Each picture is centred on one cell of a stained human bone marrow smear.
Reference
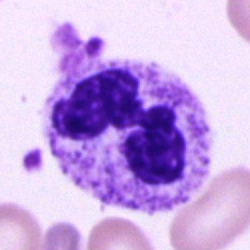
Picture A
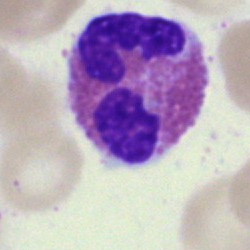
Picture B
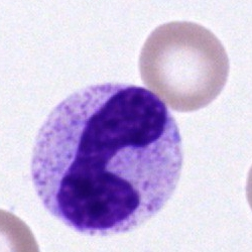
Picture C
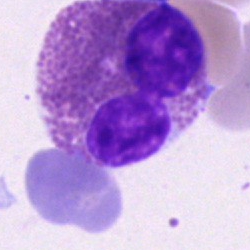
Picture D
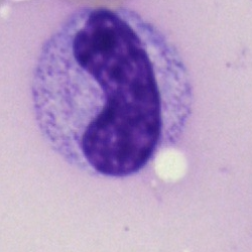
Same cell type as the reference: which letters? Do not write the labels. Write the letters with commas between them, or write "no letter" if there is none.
no letter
